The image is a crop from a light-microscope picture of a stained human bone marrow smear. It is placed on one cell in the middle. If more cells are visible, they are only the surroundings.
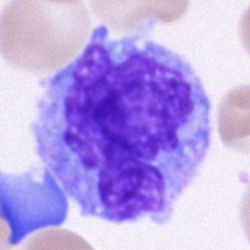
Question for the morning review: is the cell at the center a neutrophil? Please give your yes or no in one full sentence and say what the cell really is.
No, this cell in the middle is a monocyte, so it is not a neutrophil.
